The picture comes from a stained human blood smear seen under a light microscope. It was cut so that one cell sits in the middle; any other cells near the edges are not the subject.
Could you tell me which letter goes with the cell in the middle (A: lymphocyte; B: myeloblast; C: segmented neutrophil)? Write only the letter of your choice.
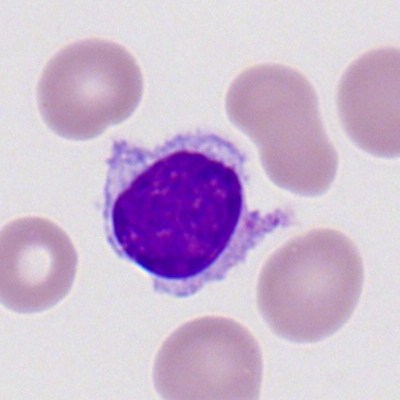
A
